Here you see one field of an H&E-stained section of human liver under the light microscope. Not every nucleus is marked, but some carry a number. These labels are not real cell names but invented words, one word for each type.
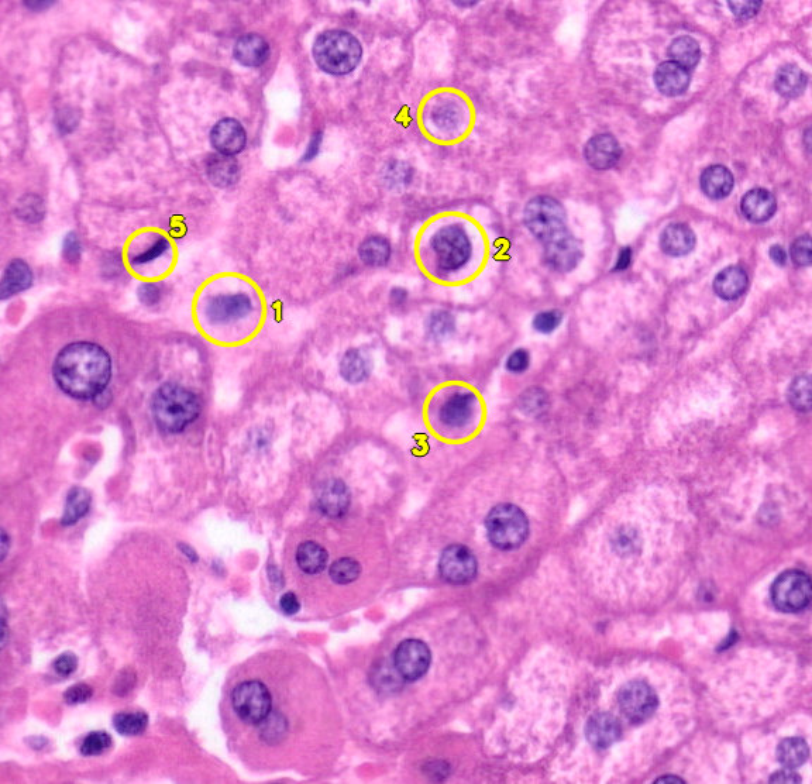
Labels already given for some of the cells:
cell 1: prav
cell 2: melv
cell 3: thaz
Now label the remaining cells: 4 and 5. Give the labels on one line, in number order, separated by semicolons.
melv; thaz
